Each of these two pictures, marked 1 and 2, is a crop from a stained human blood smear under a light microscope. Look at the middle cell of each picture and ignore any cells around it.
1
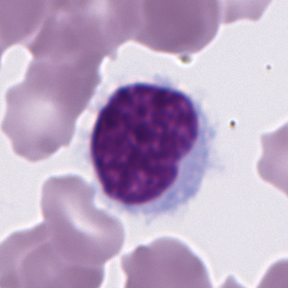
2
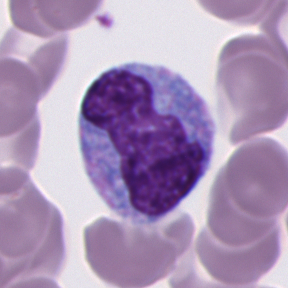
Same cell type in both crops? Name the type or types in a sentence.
No, the cells are a hairy cell in crop 1 and a monocyte in crop 2.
